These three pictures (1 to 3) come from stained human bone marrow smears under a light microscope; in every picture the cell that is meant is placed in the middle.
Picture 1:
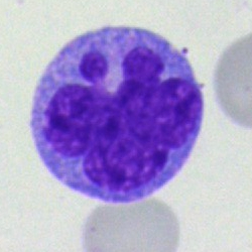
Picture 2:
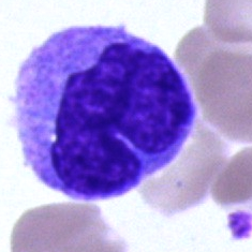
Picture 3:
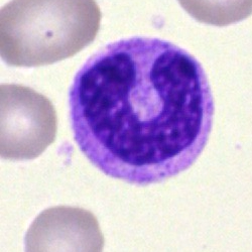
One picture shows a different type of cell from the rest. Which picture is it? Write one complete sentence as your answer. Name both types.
The different one is picture 3; it shows a band neutrophil, whereas all the others show monocytes.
